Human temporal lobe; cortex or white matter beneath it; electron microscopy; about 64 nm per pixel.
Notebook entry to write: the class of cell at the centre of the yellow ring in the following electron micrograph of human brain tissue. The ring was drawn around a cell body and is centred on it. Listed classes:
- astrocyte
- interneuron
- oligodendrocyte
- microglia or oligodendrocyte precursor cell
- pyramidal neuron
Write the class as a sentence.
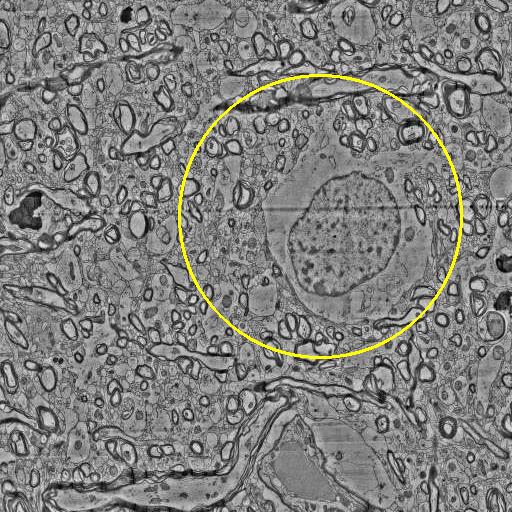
The yellow ring sits on an astrocyte.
